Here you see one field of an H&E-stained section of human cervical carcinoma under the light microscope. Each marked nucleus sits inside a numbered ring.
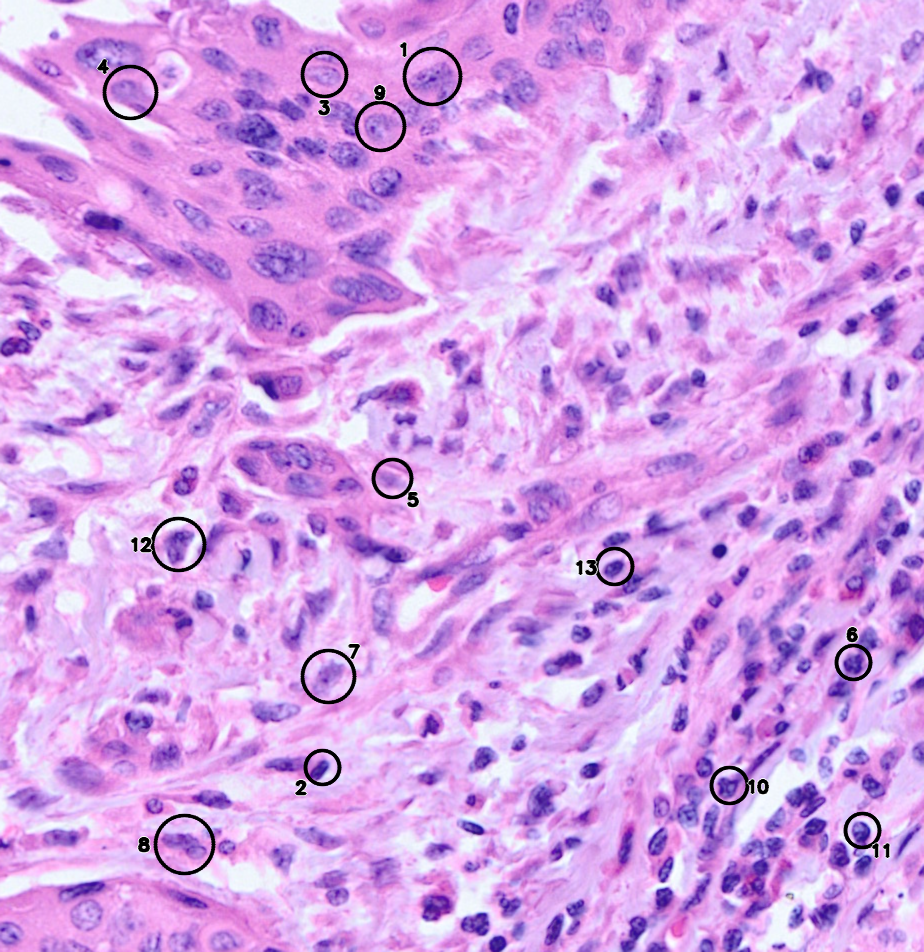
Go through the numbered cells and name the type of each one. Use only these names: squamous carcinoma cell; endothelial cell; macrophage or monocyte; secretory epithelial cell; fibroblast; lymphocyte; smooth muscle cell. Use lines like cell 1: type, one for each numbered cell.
cell 1: squamous carcinoma cell
cell 2: lymphocyte
cell 3: squamous carcinoma cell
cell 4: squamous carcinoma cell
cell 5: fibroblast
cell 6: lymphocyte
cell 7: fibroblast
cell 8: macrophage or monocyte
cell 9: squamous carcinoma cell
cell 10: lymphocyte
cell 11: lymphocyte
cell 12: macrophage or monocyte
cell 13: lymphocyte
